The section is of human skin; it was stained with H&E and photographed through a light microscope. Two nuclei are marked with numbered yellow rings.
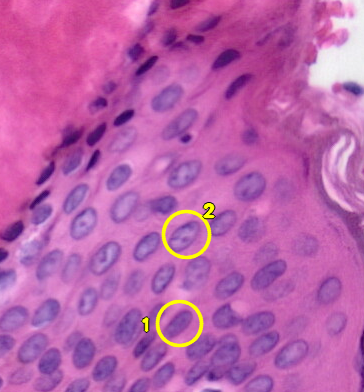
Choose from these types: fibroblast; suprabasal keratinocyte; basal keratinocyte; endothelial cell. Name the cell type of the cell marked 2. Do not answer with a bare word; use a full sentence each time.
The cell whose nucleus carries the number 2 is a suprabasal keratinocyte.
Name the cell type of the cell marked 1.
Recognised here as a basal keratinocyte is the cell numbered 1.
